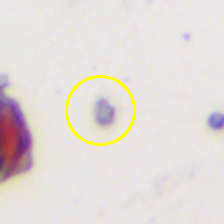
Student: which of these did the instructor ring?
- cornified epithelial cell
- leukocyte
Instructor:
The cell I ringed is a leukocyte.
